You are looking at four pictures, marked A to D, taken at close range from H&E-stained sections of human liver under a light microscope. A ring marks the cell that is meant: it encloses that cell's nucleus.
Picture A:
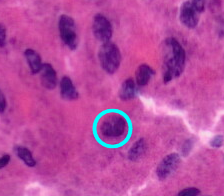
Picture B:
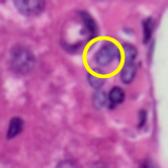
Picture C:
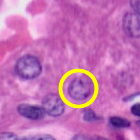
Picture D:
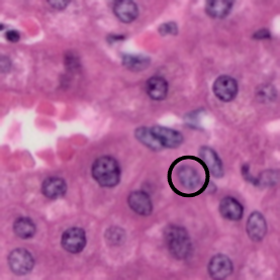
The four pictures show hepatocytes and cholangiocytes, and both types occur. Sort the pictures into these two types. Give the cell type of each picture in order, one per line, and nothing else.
hepatocyte
cholangiocyte
cholangiocyte
cholangiocyte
